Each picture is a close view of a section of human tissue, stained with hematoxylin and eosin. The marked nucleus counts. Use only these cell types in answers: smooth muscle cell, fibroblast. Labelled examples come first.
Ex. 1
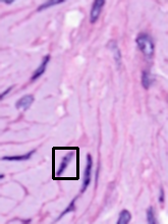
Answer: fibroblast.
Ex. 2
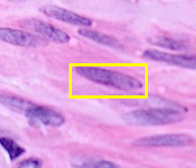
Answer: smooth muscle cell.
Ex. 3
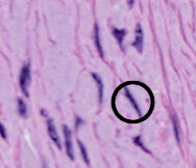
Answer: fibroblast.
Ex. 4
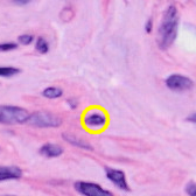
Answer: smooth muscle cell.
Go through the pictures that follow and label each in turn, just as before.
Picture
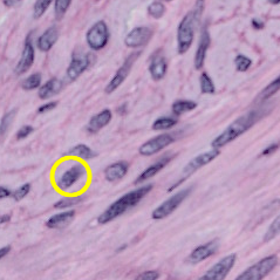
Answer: smooth muscle cell.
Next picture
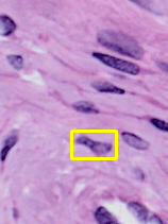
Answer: fibroblast.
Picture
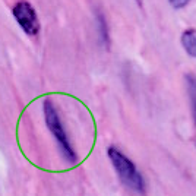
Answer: fibroblast.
